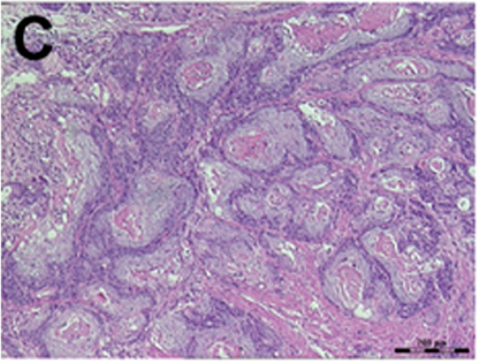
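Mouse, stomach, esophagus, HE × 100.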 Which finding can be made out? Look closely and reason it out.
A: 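Irregular nests of squamous epithelium infiltrate the stroma. Many nests have central pink keratinized cores. Nest borders are lined by darker basal-type cells. On this evidence: Squamouse cell carcinoma.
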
